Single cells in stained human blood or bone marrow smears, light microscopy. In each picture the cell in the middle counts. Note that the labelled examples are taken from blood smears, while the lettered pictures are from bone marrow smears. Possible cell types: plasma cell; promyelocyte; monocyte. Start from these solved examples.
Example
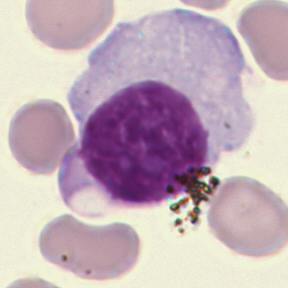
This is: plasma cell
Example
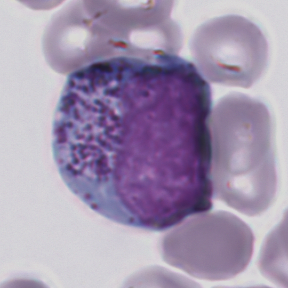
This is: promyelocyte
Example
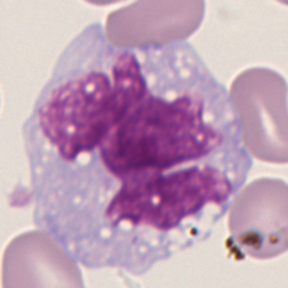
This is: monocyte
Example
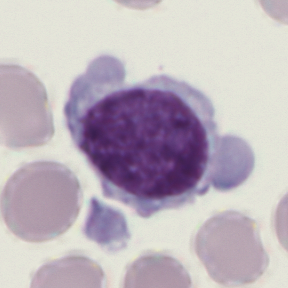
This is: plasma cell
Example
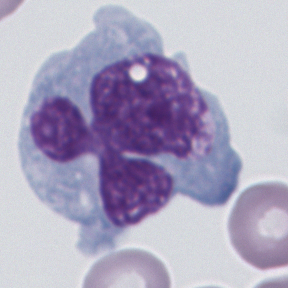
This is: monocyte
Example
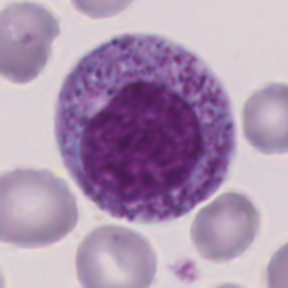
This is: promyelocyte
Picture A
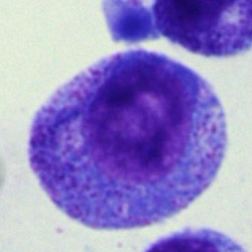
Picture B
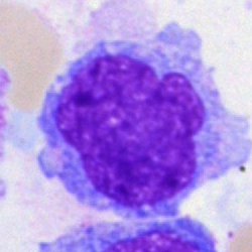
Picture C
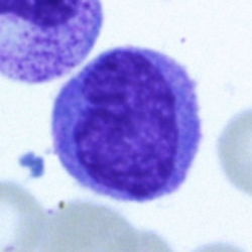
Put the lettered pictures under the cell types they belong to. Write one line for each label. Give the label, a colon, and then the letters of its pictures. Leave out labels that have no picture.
promyelocyte: A
monocyte: B, C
